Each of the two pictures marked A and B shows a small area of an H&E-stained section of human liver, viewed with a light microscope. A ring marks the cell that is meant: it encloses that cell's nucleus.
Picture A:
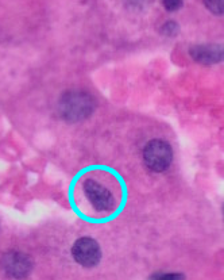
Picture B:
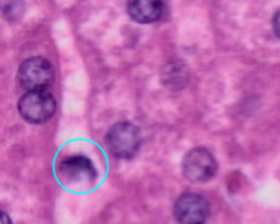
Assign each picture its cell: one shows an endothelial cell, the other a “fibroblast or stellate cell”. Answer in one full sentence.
Picture A shows a “fibroblast or stellate cell” and picture B shows an endothelial cell.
